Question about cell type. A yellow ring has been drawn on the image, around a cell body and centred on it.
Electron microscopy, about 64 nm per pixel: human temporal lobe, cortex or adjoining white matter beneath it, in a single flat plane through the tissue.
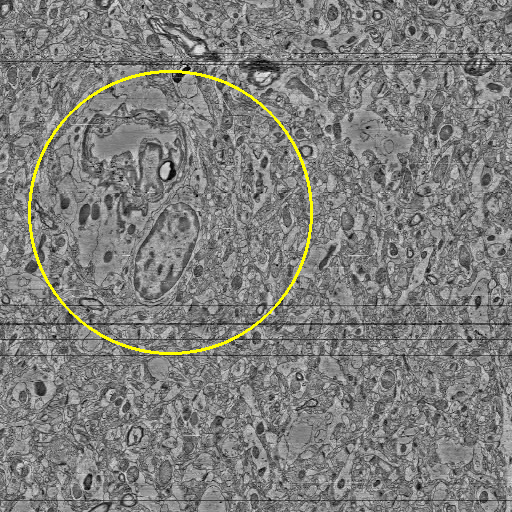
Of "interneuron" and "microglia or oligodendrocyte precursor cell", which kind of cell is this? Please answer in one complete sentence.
At the centre of the ring lies a microglial cell or oligodendrocyte precursor cell.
